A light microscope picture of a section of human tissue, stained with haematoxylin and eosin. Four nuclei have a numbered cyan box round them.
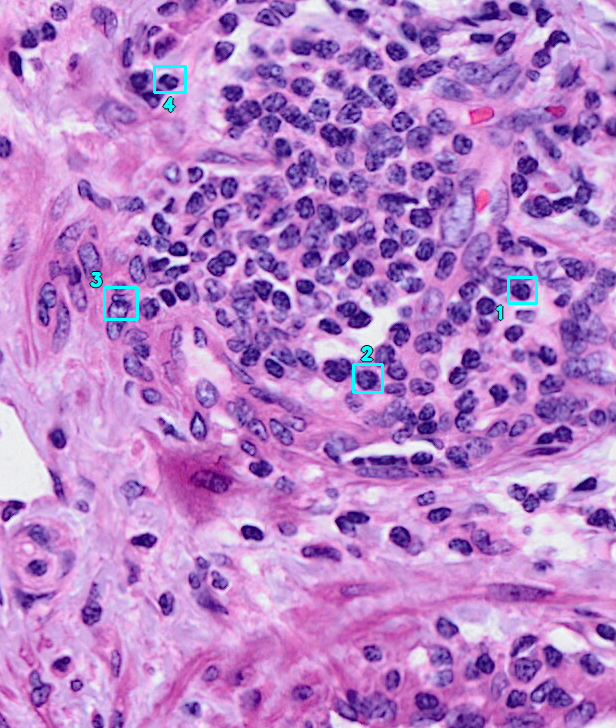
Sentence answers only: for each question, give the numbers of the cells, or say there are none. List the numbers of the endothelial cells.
Response: cell 3 is an endothelial cell, and no other numbered cell is.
